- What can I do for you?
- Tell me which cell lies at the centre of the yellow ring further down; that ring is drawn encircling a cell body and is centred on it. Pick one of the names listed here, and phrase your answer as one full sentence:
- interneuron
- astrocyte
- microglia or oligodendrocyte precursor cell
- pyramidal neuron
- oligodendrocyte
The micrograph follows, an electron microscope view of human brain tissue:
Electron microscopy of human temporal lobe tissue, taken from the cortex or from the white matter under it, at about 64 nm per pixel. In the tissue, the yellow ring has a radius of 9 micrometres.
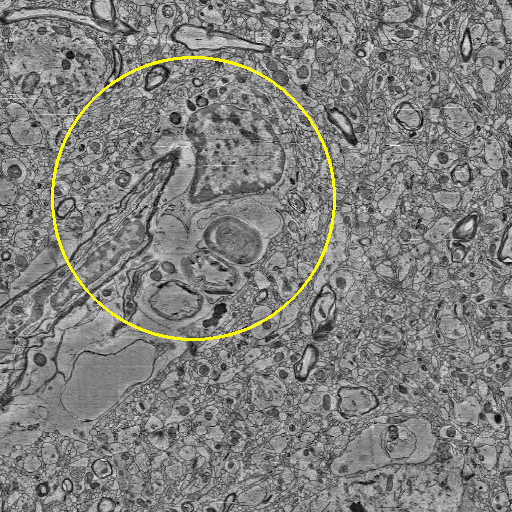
The cell whose body lies at the centre of the yellow ring is a microglial cell or oligodendrocyte precursor cell.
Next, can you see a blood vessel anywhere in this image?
Yes.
